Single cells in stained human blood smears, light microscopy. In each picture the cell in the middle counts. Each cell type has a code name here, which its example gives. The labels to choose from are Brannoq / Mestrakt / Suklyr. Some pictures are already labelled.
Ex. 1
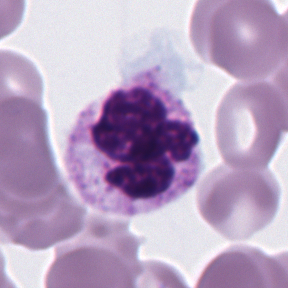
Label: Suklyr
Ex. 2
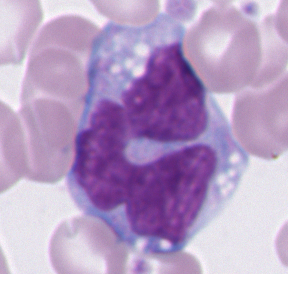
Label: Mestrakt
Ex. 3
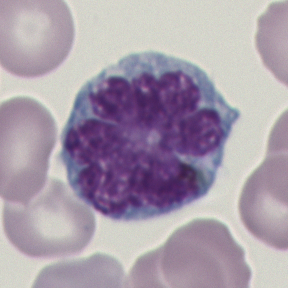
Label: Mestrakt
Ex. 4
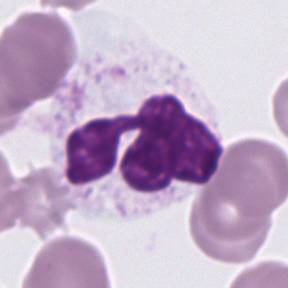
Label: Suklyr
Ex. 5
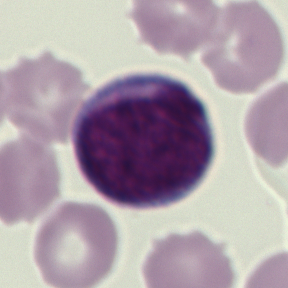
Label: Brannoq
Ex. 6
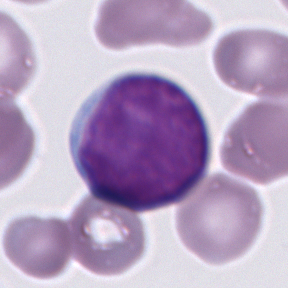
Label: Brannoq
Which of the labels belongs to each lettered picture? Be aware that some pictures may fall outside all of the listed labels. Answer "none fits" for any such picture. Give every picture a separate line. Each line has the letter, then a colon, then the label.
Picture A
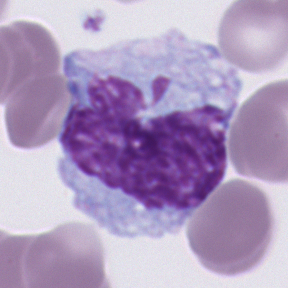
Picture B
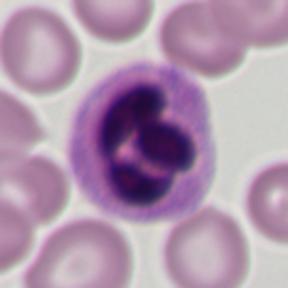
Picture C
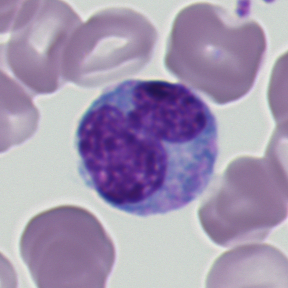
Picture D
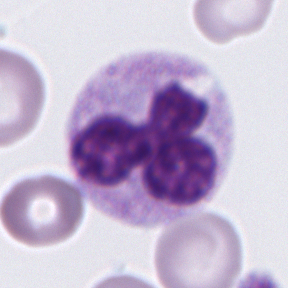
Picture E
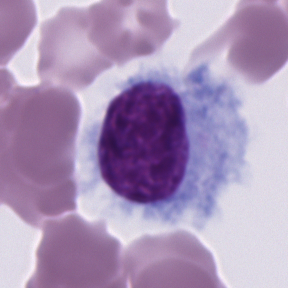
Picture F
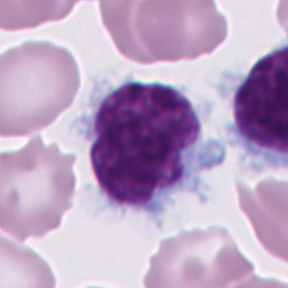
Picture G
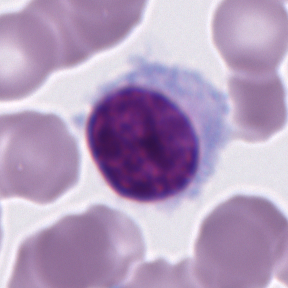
A: Mestrakt
B: Suklyr
C: Mestrakt
D: Suklyr
E: none fits
F: none fits
G: none fits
